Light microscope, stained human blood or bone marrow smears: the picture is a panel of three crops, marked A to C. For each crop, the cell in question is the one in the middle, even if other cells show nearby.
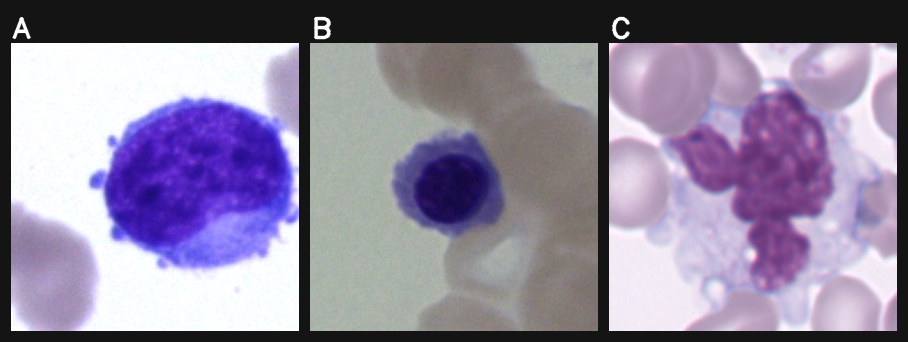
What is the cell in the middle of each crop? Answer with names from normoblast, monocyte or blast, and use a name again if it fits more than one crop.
A: blast
B: normoblast
C: monocyte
